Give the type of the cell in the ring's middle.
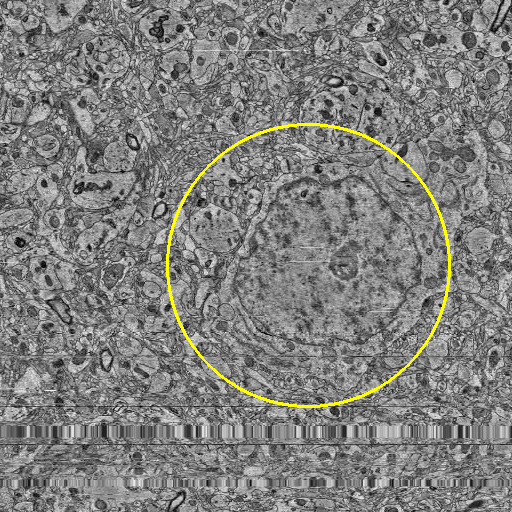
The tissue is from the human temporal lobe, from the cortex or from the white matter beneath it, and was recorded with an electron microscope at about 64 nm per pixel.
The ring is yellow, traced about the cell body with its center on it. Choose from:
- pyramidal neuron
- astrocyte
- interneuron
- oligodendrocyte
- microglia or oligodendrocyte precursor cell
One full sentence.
Here, an interneuron is the cell lying at the center of the yellow ring.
